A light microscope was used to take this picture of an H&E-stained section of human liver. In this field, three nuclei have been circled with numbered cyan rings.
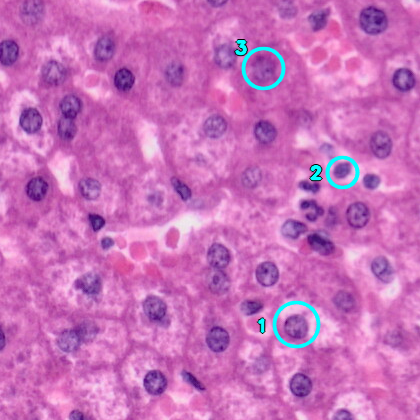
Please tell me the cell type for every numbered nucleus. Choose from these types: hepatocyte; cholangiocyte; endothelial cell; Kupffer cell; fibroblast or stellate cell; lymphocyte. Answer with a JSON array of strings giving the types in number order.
["hepatocyte", "lymphocyte", "hepatocyte"]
